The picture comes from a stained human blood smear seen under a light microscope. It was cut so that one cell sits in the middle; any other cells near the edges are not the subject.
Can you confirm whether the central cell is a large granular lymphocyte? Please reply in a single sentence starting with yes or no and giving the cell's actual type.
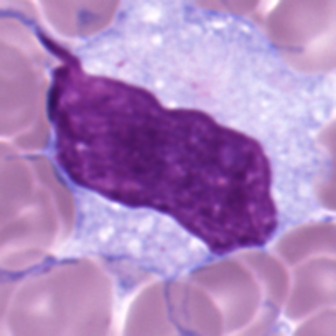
No, the cell sitting in the centre of the crop is a monocyte, not a large granular lymphocyte.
